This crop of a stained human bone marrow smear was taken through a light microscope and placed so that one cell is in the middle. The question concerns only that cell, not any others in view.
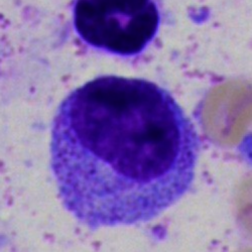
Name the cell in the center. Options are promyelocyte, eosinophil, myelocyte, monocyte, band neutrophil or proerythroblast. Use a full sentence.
The central element of this crop is a cell, namely a myelocyte.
